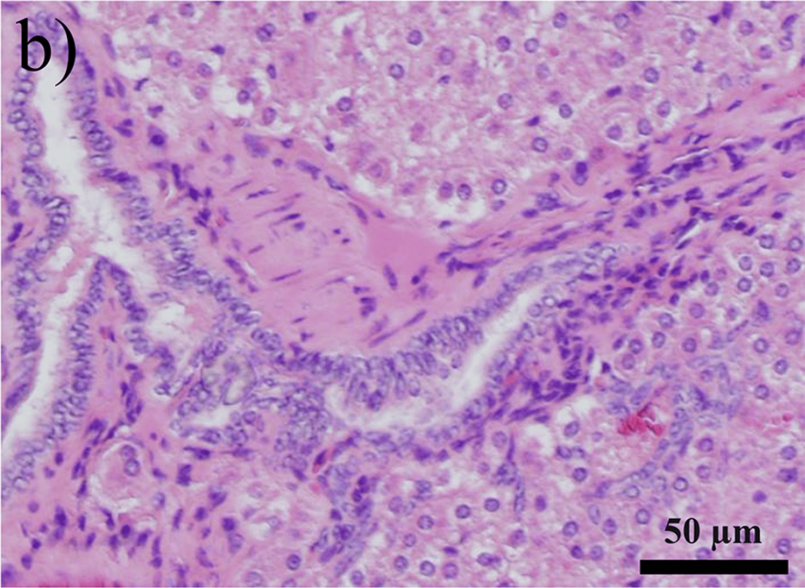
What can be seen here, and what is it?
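Liver tissue crossed by a band of pink connective tissue that carries elongated bile ducts, with hepatocytes on either side. The ducts have slit-like or branching lumens and are lined by a single layer of cuboidal to low columnar cells with crowded dark nuclei. Around the ducts the connective tissue holds many small, dark-staining nuclei, some round and some spindle-shaped, gathered most densely next to the duct lining. The hepatocytes beyond are polygonal, with pale, finely vacuolated pink cytoplasm and round nuclei. A few red blood cells lie at the lower right.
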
